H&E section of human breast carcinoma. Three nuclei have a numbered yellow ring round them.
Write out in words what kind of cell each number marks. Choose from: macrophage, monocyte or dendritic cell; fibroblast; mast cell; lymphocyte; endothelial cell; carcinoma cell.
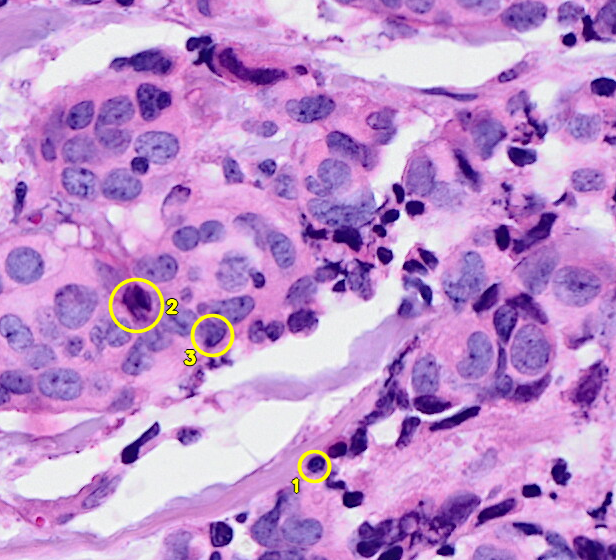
Cell 1 is a lymphocyte. Cells 2 and 3 are carcinoma cells.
